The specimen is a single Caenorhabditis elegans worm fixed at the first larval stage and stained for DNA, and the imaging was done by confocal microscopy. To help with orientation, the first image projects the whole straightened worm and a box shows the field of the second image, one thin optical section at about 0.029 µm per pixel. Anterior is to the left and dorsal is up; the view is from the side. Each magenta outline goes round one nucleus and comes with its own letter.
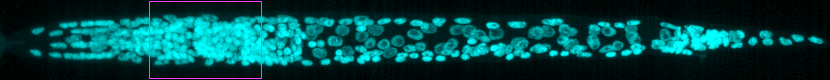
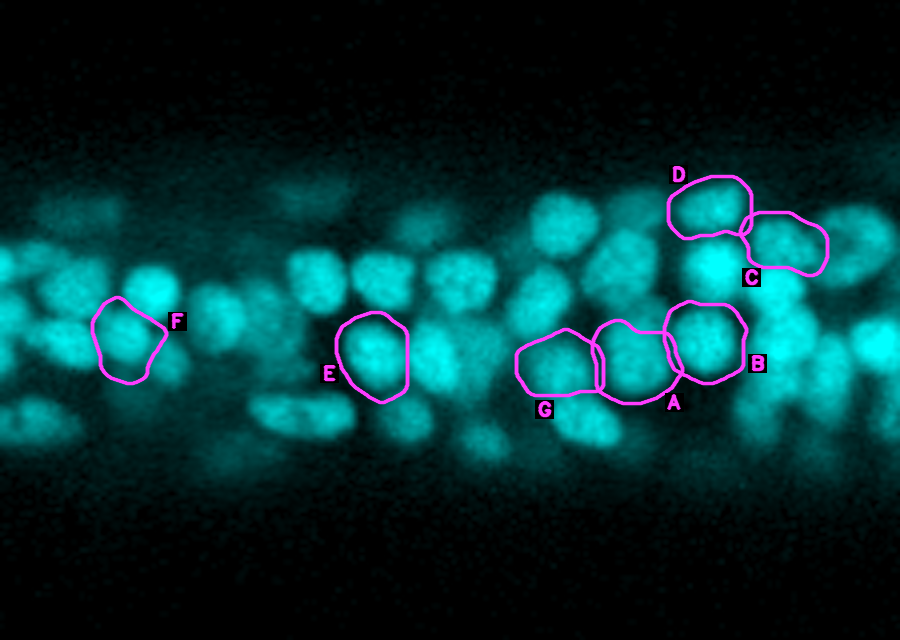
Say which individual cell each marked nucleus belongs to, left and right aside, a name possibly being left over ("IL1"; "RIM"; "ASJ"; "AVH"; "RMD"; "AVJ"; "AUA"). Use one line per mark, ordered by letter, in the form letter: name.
A: ASJ
B: RIM
C: AVJ
D: AVH
E: RMD
F: IL1
G: AUA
